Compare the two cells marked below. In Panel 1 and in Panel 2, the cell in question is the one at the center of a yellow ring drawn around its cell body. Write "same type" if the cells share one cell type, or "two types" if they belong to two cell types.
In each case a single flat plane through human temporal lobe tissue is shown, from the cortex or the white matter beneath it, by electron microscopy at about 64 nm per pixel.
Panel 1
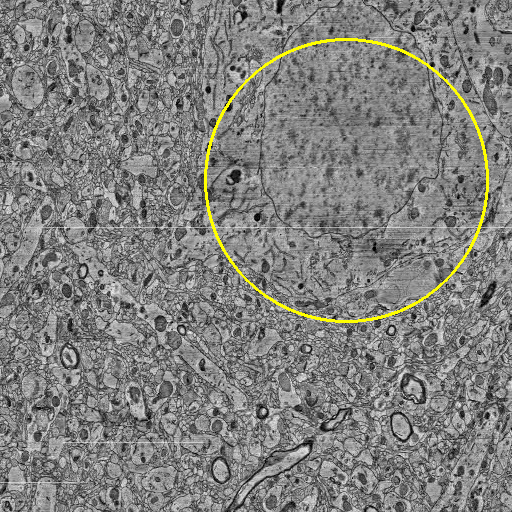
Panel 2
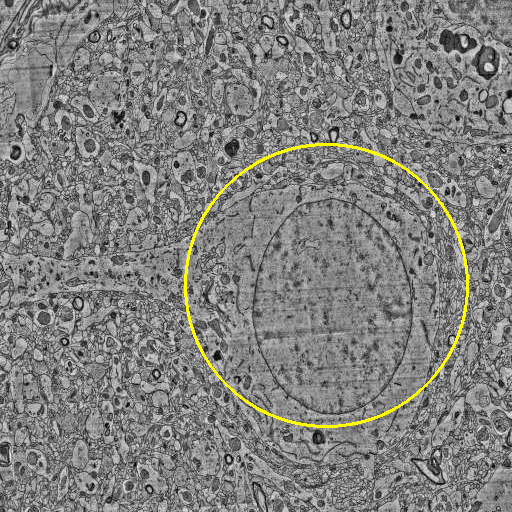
same type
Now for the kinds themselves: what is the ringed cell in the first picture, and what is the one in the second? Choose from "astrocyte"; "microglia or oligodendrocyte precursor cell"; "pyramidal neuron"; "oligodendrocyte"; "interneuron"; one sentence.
The first and the second cell are each a pyramidal neuron.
